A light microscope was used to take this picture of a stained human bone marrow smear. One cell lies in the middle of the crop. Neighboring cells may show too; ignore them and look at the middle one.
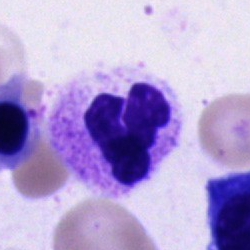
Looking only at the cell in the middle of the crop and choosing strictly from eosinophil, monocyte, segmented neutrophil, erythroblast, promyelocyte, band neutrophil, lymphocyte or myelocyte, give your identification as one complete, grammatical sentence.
The cell the crop is centered on is a segmented neutrophil.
